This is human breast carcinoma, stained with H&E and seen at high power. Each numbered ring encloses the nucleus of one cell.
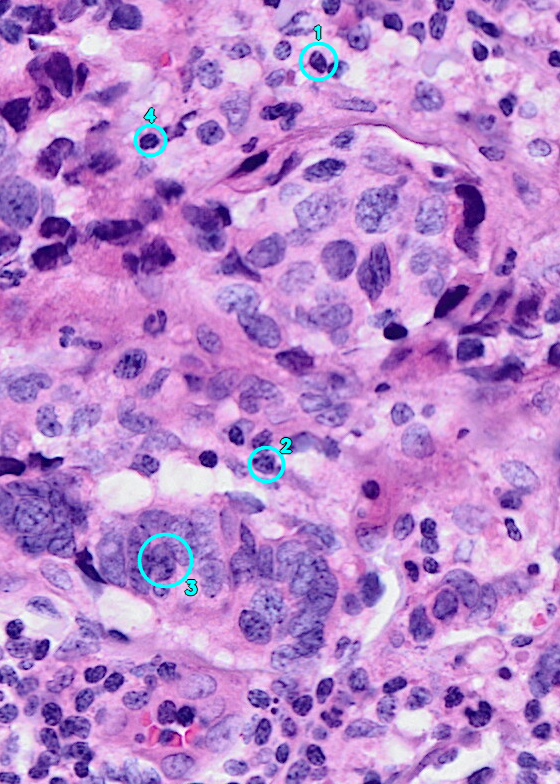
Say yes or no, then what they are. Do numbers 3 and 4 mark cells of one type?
No, cell 4 is a lymphocyte, whereas cell 3 is a carcinoma cell.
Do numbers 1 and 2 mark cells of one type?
Yes, cells 1 and 2 are of one type, both being lymphocytes.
